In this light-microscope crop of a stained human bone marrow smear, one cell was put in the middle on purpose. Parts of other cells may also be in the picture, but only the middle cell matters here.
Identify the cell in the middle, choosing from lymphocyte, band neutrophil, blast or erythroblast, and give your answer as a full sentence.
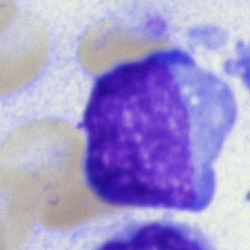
The single cell at the center of the crop is a blast.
